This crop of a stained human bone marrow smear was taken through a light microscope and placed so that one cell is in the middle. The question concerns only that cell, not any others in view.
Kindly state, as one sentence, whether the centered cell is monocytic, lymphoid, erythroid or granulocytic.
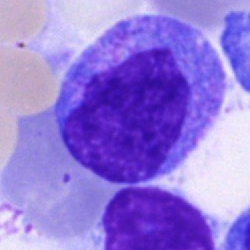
The cell at the center is a representative of the granulocytic lineage.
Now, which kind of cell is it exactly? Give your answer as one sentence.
The cell in the middle of this crop is a promyelocyte.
